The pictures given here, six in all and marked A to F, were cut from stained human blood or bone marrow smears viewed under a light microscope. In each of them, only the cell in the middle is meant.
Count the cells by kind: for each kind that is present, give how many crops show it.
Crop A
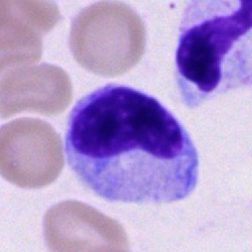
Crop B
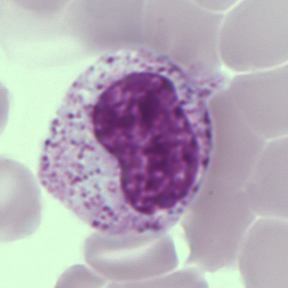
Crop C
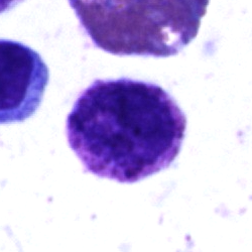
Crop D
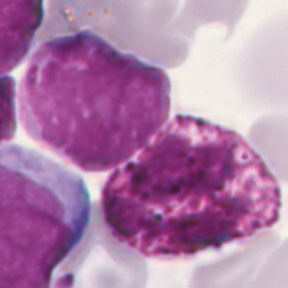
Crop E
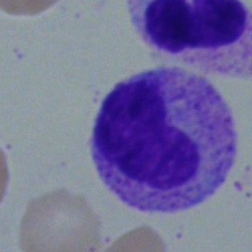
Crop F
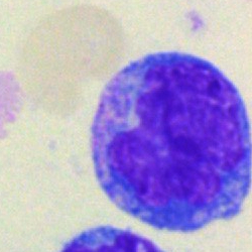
metamyelocyte: 3
basophil: 2
monocyte: 1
